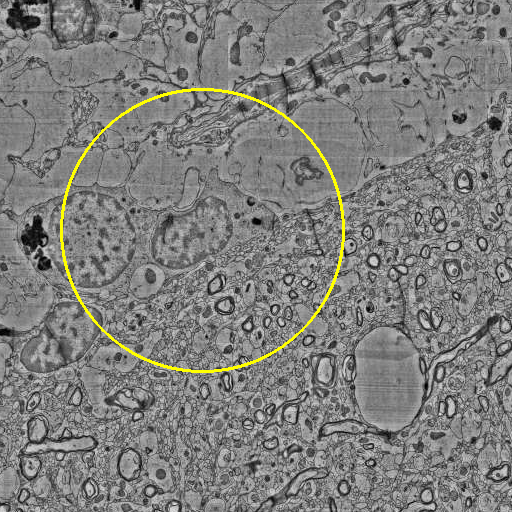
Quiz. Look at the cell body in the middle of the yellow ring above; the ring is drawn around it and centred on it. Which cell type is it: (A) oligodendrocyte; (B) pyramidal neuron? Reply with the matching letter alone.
A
